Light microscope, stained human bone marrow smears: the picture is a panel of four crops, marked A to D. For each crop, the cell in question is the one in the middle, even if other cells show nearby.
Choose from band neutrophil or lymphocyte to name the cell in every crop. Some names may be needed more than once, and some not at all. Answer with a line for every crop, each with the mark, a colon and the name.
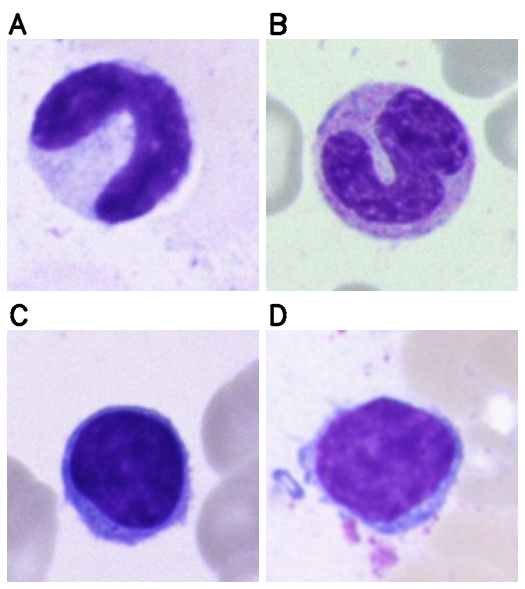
A: band neutrophil
B: band neutrophil
C: lymphocyte
D: lymphocyte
